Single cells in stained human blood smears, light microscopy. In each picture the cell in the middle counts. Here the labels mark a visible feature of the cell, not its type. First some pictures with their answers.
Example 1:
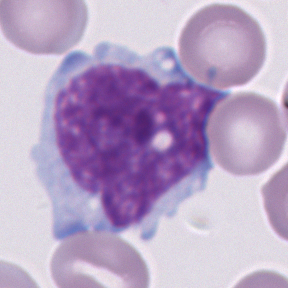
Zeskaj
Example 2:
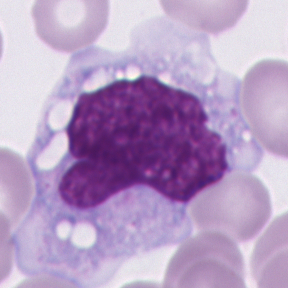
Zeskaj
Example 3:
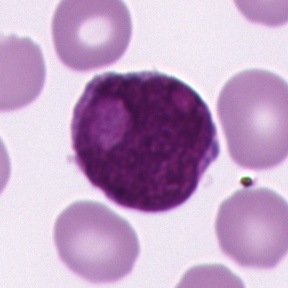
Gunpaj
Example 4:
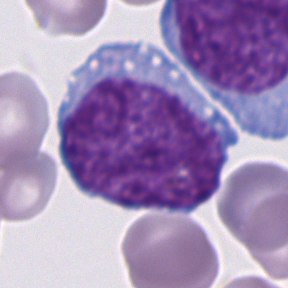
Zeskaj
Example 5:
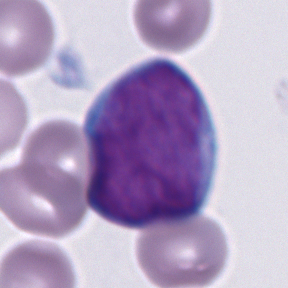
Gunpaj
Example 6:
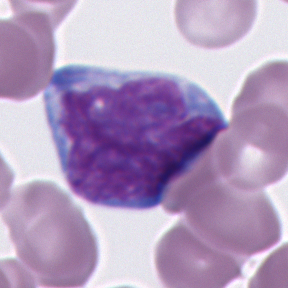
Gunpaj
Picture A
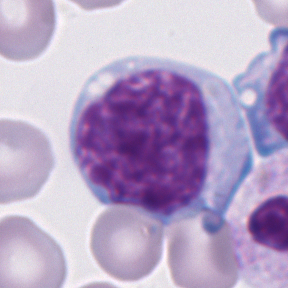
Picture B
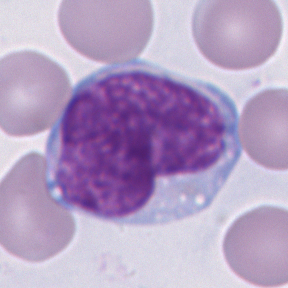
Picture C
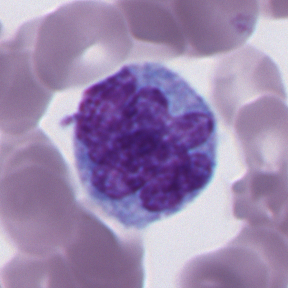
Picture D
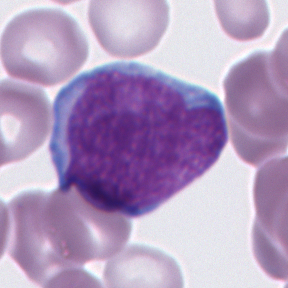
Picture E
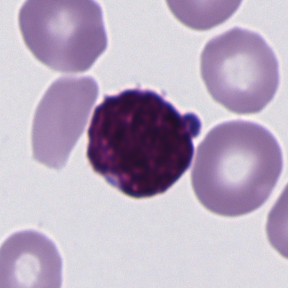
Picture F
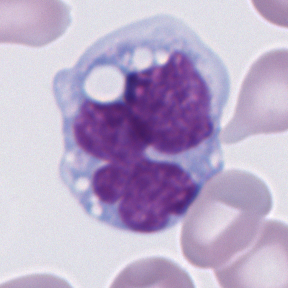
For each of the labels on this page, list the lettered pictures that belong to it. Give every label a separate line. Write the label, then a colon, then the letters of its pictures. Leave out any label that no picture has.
Zeskaj: A, B, F
Gunpaj: C, D, E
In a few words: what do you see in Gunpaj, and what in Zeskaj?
Seen in Gunpaj: no vacuoles; seen in Zeskaj: vacuoles present.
